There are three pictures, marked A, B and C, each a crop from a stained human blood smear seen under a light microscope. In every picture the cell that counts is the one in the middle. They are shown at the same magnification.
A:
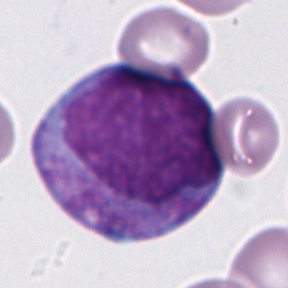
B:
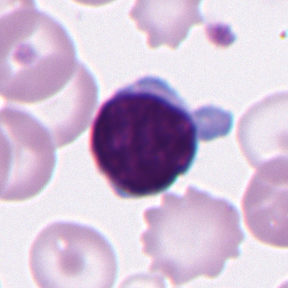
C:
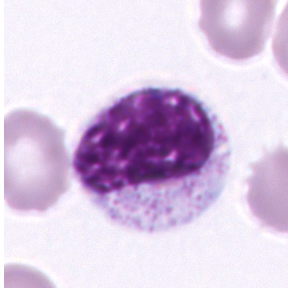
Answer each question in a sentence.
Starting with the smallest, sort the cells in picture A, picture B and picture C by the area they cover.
Smallest first: B, C, A.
